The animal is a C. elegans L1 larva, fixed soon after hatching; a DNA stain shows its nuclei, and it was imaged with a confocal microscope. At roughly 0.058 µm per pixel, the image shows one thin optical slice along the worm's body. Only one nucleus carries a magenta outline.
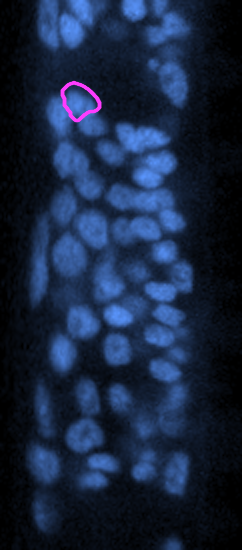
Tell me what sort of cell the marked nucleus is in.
GLR cell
